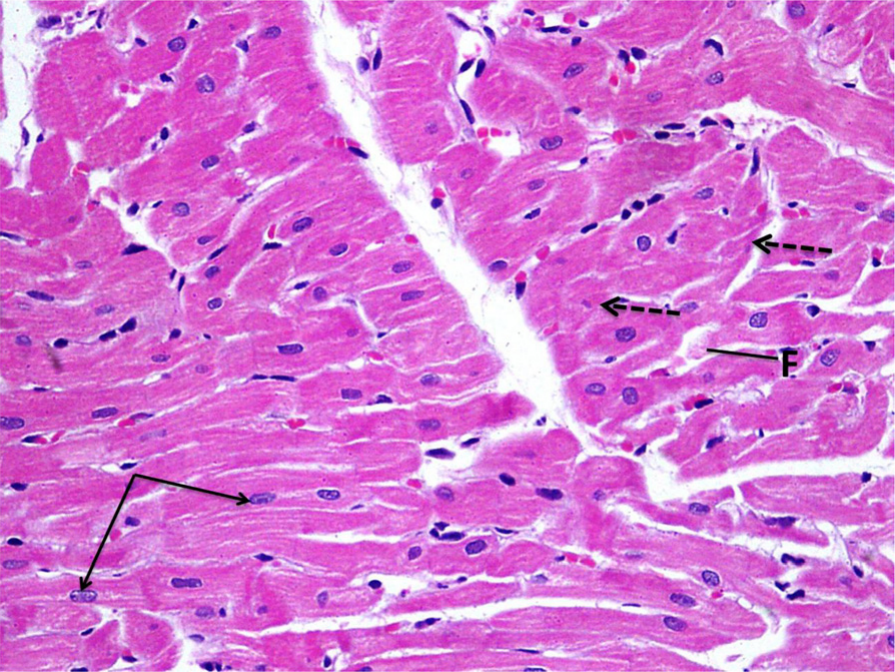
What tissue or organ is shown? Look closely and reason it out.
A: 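Branching, pink-staining muscle fibres run side by side with narrow spaces between them. Fibres have single oval nuclei lying centrally. The answer: myocardium.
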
